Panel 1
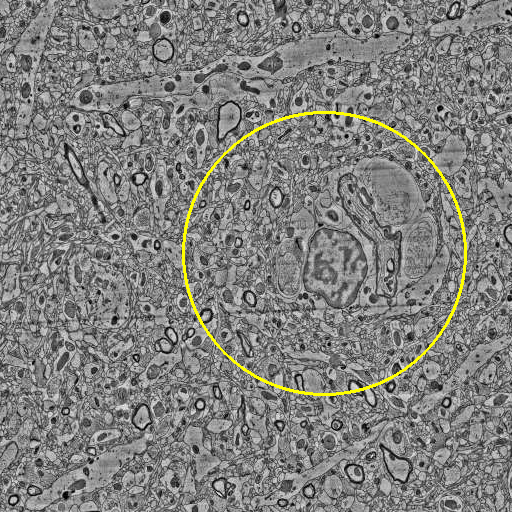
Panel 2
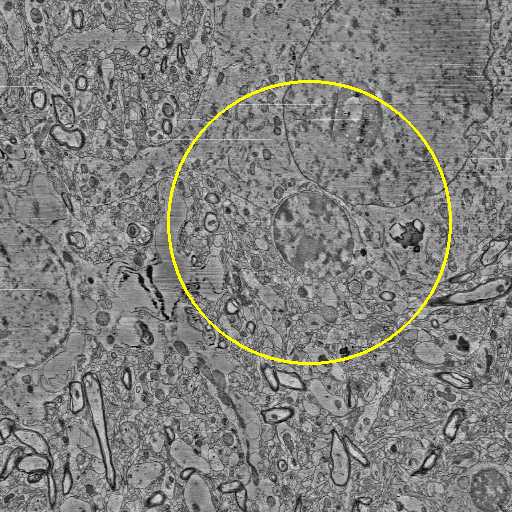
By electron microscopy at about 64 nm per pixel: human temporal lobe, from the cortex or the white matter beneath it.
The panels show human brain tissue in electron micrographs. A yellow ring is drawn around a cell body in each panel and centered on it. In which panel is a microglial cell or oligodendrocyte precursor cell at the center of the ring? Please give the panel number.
1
